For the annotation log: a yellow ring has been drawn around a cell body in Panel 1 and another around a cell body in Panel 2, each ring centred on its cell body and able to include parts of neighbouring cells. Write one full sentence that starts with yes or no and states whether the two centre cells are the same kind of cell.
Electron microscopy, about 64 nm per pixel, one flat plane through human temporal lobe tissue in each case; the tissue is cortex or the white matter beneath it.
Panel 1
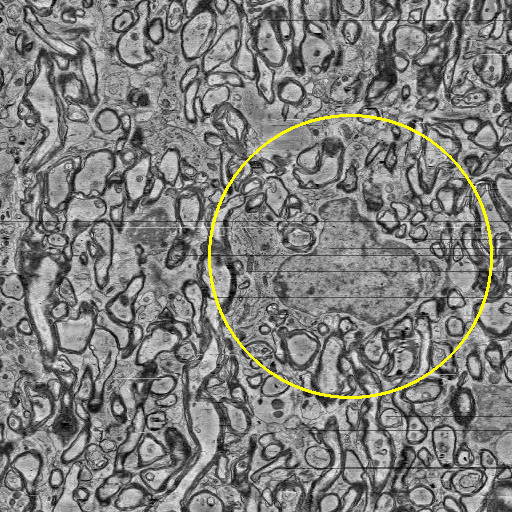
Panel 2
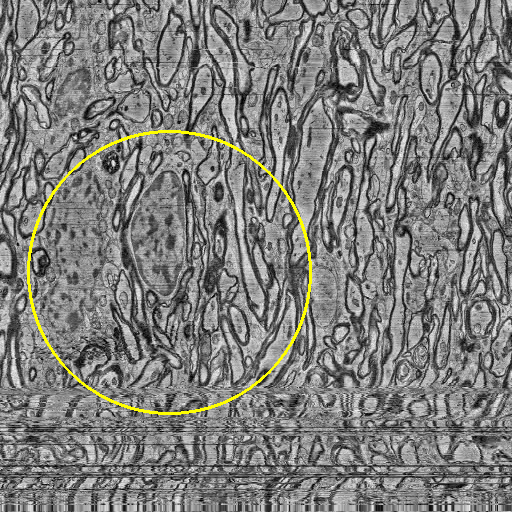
Yes, the two centre cells are the same kind of cell.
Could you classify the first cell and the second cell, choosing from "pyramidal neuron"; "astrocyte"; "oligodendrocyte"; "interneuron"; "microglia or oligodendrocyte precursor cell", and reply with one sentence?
Both the first and the second picture show a microglial cell or oligodendrocyte precursor cell in the ring.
